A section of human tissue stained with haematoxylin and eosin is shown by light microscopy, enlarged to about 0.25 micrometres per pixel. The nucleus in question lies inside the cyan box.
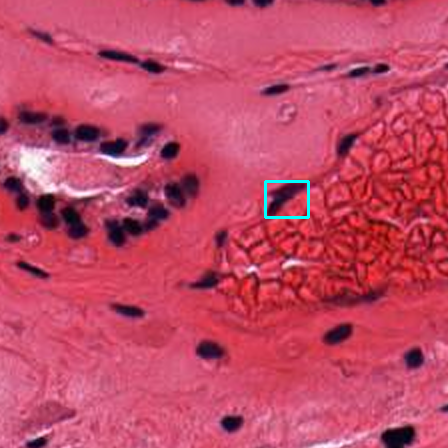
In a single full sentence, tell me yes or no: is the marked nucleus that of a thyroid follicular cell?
No, a thyroid follicular cell is not the cell of the marked nucleus; a supporting cell is.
